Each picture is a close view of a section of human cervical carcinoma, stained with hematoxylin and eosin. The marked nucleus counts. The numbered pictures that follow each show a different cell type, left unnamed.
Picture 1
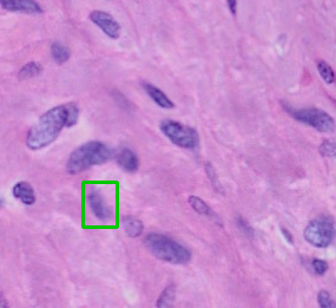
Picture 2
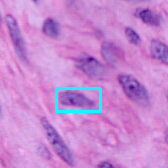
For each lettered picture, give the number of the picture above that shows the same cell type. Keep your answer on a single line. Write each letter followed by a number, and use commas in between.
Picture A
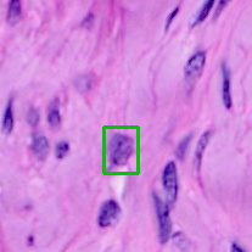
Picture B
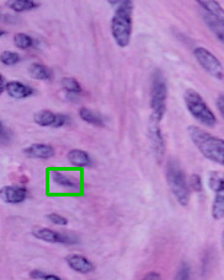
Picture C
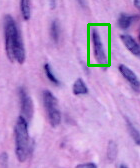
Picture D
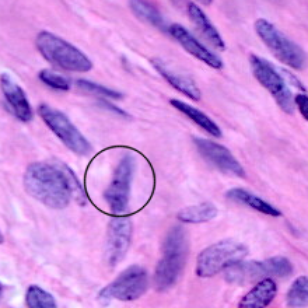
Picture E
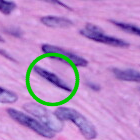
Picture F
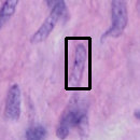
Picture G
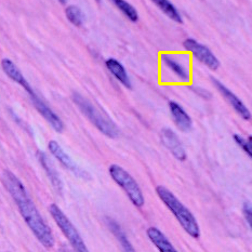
A 1, B 2, C 1, D 1, E 1, F 2, G 1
